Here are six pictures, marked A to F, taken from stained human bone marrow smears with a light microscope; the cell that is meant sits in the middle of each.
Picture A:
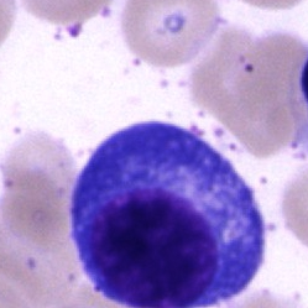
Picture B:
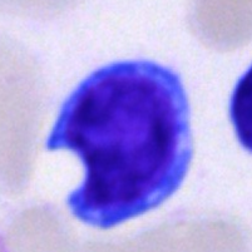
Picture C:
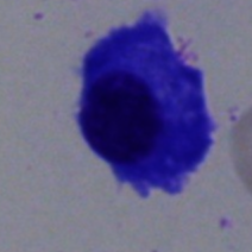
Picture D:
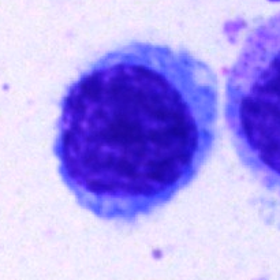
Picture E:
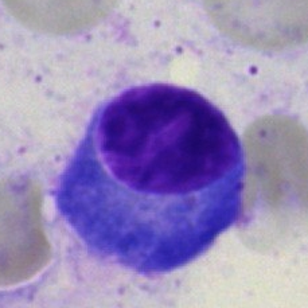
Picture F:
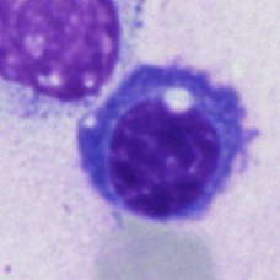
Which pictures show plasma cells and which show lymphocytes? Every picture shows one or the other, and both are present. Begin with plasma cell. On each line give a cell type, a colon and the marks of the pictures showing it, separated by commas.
plasma cell: A, C, E, F
lymphocyte: B, D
